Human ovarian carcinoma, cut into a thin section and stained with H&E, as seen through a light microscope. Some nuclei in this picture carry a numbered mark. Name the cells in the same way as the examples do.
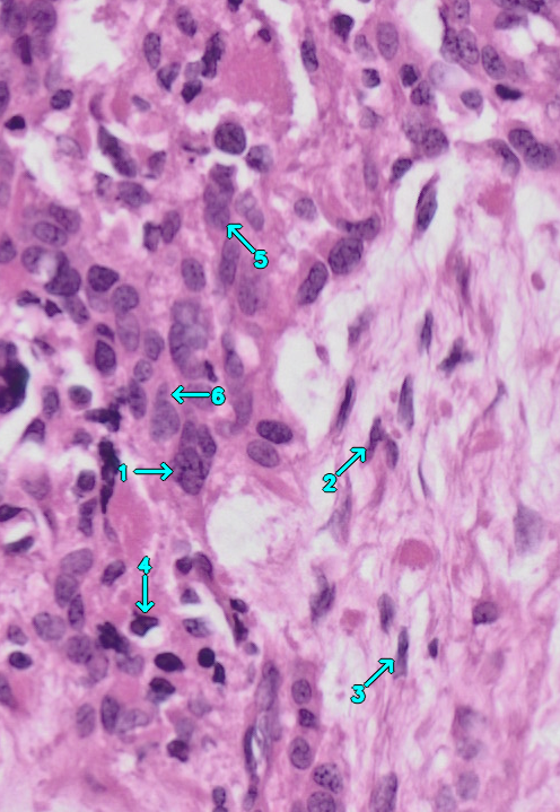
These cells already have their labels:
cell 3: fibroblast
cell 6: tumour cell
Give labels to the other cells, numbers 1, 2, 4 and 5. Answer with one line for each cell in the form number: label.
1: tumour cell
2: fibroblast
4: tumour cell
5: tumour cell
